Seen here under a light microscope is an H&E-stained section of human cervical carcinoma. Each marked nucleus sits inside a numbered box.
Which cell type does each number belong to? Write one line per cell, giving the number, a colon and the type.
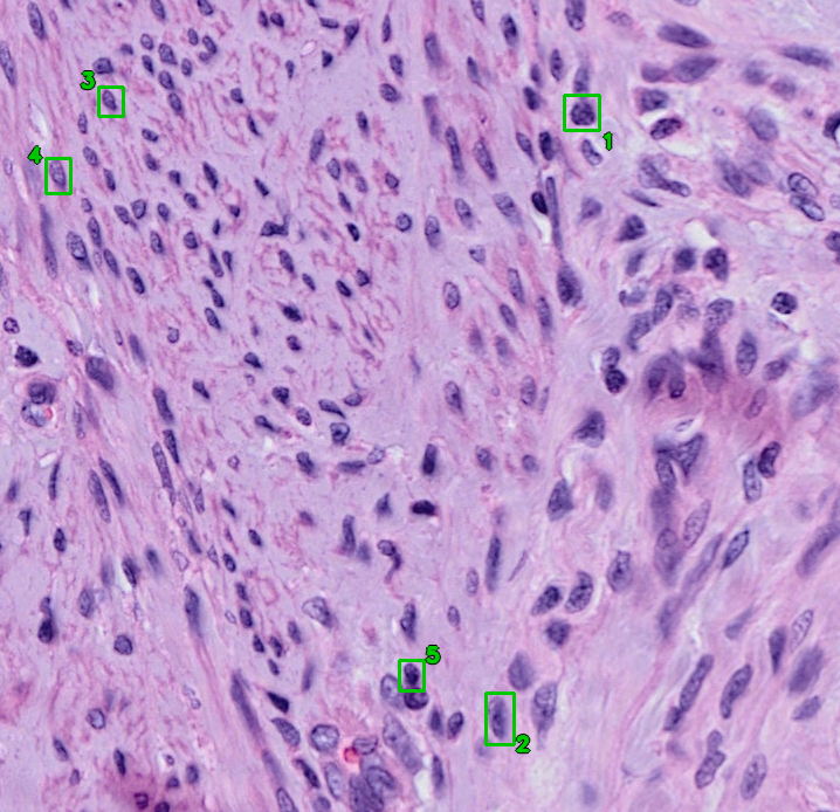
1: lymphocyte
2: fibroblast
3: smooth muscle cell
4: smooth muscle cell
5: lymphocyte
